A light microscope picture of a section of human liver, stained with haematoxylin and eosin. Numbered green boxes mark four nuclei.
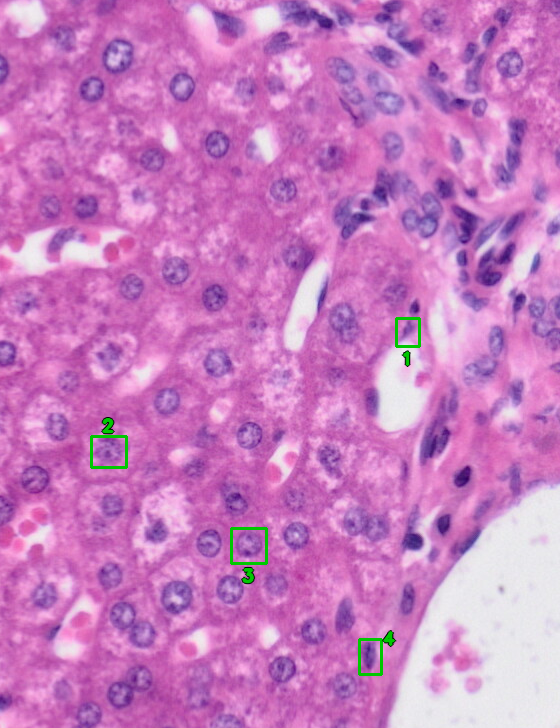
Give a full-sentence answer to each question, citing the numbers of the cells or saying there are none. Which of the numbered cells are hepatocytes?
Regarding the numbered cells 2 and 3, these are hepatocytes.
